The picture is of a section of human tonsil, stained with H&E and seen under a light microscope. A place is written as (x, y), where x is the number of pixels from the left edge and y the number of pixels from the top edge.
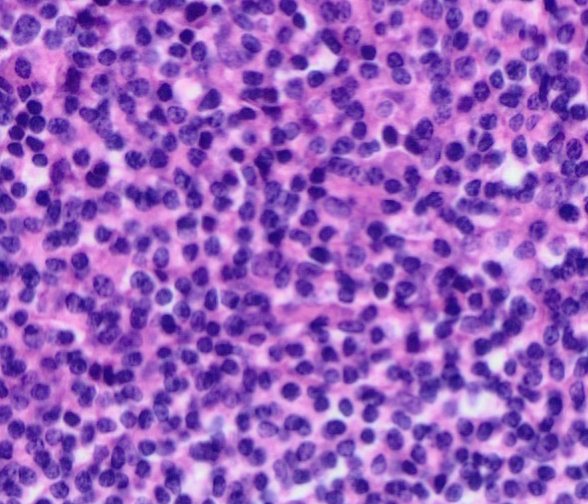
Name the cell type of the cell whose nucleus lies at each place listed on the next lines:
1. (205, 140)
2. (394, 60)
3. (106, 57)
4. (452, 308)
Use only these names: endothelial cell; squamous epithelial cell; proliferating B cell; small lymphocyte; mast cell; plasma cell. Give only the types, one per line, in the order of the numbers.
small lymphocyte
plasma cell
small lymphocyte
small lymphocyte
